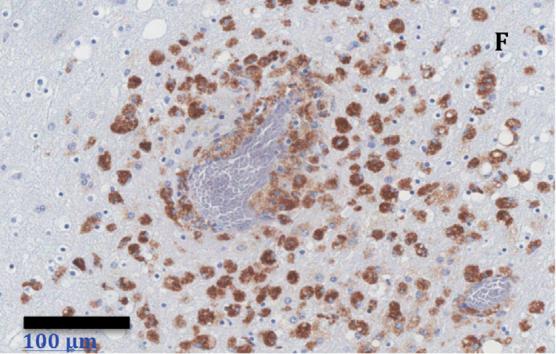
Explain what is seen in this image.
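Brain tissue around a small vein shows perivenous macrophage infiltration: large, rounded cells with brown-stained, granular cytoplasm crowd around the vessel wall. They thin out into the surrounding pale tissue, which holds small blue nuclei and clear vacuoles.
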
